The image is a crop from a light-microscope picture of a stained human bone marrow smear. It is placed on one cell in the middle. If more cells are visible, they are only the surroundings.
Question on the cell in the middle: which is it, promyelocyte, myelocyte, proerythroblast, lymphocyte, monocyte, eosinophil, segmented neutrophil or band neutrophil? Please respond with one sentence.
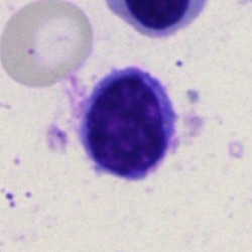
The crop shows a lymphocyte in its centre.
